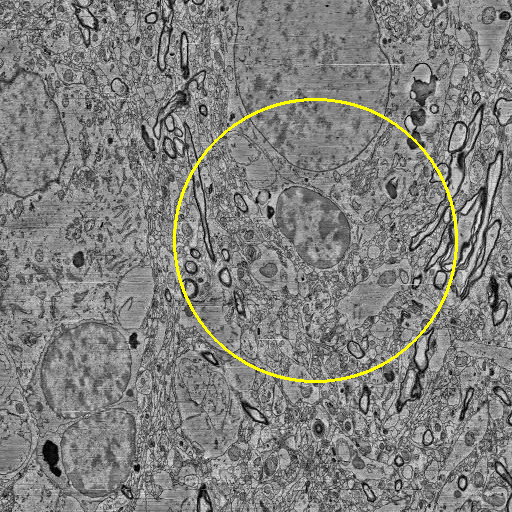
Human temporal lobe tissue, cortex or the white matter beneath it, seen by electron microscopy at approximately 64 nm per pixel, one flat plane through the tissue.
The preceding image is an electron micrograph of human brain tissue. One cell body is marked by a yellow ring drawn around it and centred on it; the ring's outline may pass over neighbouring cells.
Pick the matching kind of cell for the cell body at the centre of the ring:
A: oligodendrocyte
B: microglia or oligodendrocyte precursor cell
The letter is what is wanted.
B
